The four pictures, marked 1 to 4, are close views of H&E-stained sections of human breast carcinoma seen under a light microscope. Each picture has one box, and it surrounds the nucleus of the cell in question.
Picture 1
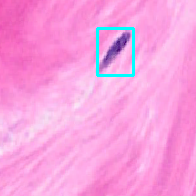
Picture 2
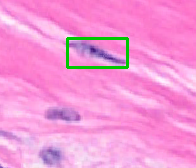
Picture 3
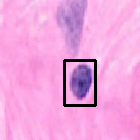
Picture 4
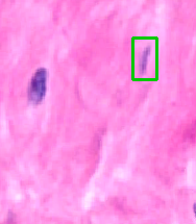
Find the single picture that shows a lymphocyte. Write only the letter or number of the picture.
3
